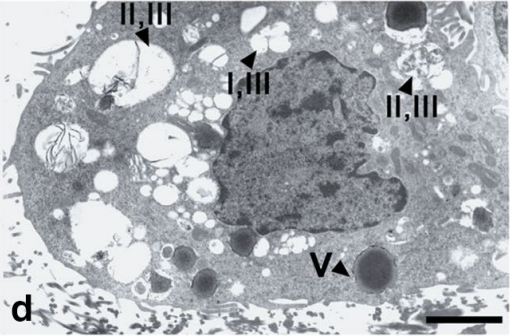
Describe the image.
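A cultured cell seen by transmission electron microscopy, with an irregular, indented nucleus with patches of darker chromatin. The cytoplasm is crowded with vacuoles: many small clear empty ones, larger ones holding membranous whorls and loose amorphous material, and several round bodies with uniformly dark content near the lower edge. Short projections line the cell surface.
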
